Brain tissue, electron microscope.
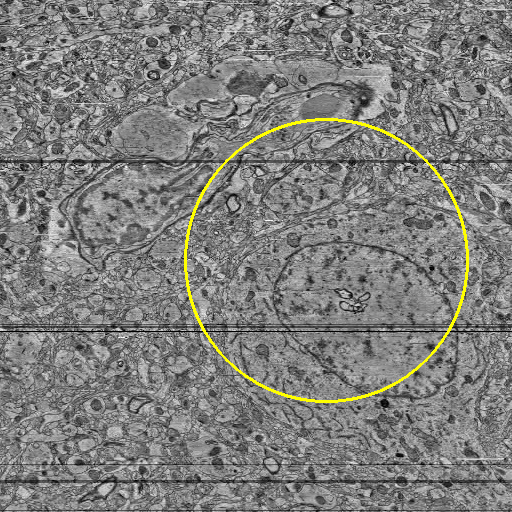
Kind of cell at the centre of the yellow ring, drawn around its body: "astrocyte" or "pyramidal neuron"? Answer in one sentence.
The ring's centre falls on a pyramidal neuron.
